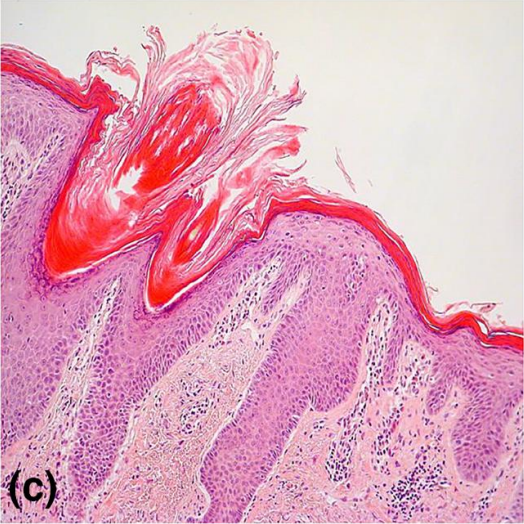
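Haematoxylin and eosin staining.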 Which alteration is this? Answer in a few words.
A: Follicular plugging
